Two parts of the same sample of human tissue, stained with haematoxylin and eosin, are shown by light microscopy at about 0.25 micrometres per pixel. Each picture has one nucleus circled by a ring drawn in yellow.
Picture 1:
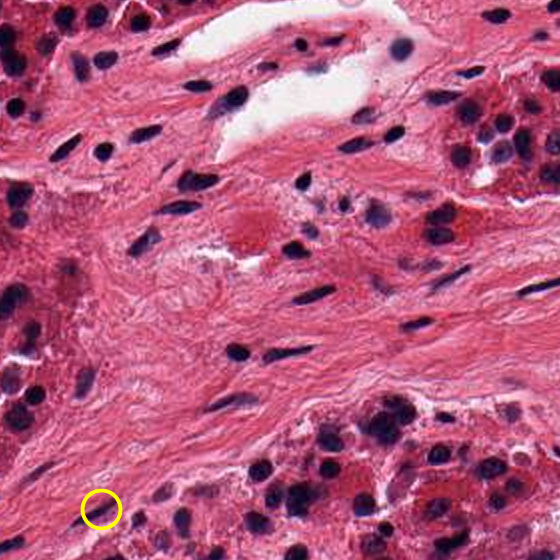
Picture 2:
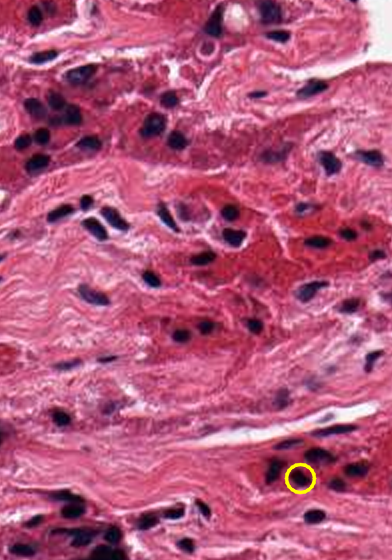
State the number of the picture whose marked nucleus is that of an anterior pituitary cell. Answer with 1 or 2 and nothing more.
2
